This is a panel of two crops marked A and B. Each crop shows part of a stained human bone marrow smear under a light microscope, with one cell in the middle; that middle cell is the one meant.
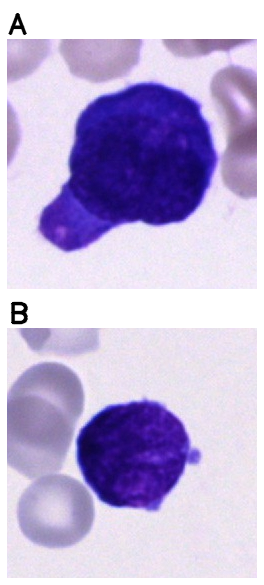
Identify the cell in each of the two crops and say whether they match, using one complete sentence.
Yes, both crops show blasts in the centre of the field.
